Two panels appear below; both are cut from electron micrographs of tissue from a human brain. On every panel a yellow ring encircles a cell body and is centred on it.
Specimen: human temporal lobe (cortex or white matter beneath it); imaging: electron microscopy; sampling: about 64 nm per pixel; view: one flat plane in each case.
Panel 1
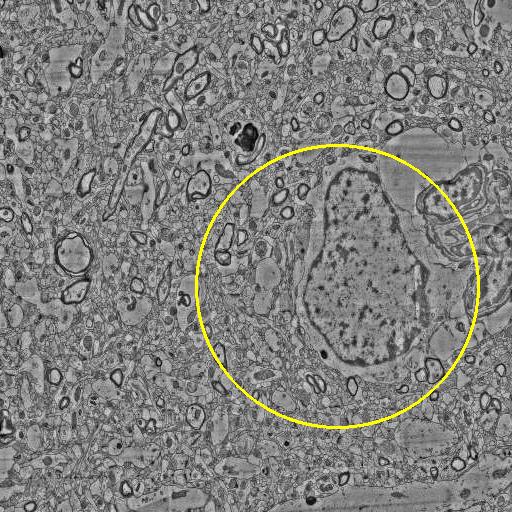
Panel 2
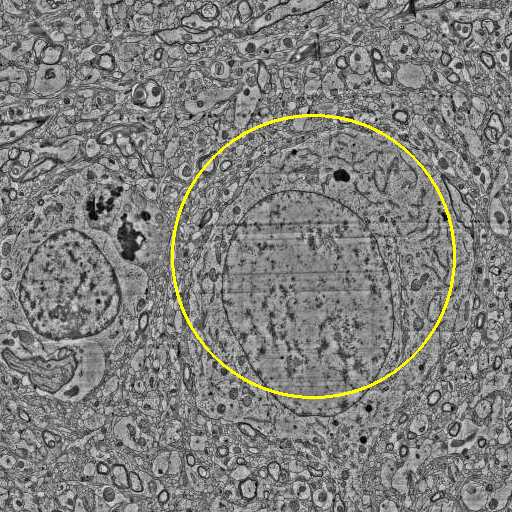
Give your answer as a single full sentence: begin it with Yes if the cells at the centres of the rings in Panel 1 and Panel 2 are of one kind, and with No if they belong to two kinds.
No, the cells in the middle of the rings in Panels 1 and 2 are of two kinds.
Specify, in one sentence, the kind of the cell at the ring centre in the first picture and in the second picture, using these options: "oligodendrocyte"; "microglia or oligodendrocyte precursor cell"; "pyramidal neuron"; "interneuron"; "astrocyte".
So the first is a microglial cell or oligodendrocyte precursor cell, the second a pyramidal neuron.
